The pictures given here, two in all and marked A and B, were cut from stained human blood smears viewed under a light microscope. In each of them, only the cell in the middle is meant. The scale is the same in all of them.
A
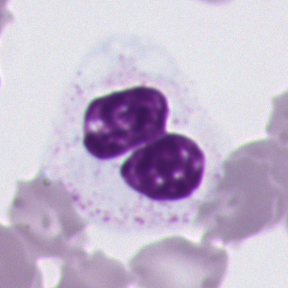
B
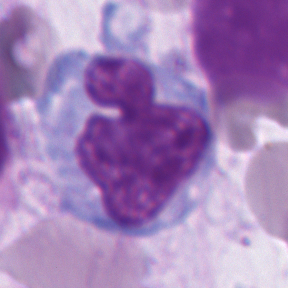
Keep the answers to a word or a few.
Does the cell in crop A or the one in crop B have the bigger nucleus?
B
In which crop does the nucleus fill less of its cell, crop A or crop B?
A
